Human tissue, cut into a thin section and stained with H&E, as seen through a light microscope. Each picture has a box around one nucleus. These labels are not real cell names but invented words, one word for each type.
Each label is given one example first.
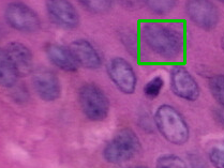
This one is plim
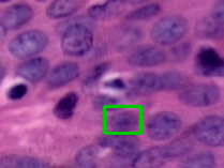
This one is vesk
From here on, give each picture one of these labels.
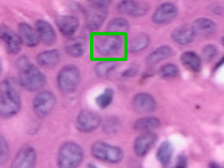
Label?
plim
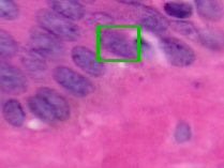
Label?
vesk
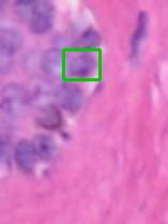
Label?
vesk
